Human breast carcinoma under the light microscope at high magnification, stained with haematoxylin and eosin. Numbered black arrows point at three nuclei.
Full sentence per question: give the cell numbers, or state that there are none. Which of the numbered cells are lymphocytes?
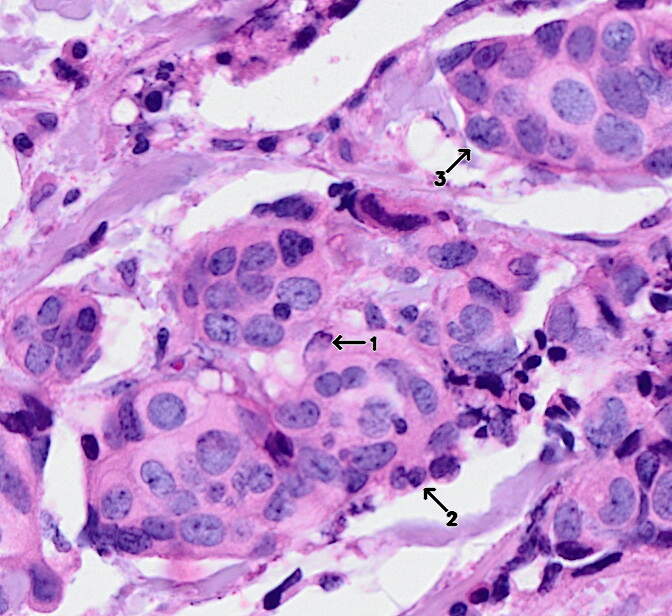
Cell 2 is a lymphocyte, whereas each of the other numbered cells is not.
